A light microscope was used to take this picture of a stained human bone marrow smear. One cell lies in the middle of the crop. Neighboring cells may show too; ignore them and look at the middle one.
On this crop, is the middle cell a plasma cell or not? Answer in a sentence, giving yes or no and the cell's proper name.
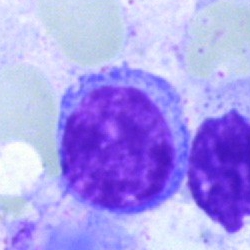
No, the centrally located cell is a lymphocyte rather than a plasma cell.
